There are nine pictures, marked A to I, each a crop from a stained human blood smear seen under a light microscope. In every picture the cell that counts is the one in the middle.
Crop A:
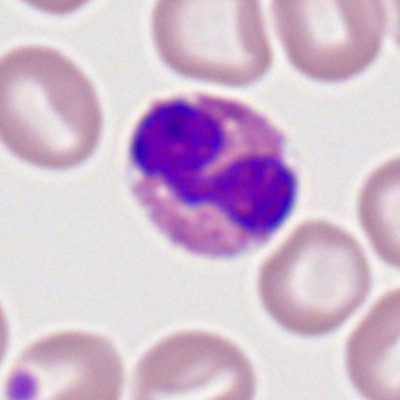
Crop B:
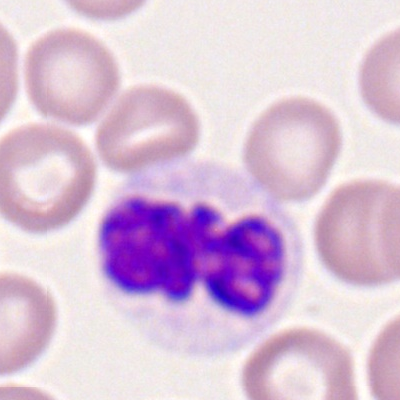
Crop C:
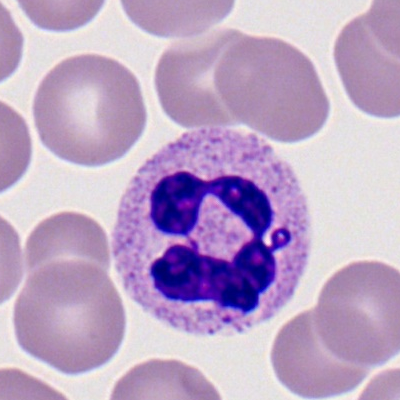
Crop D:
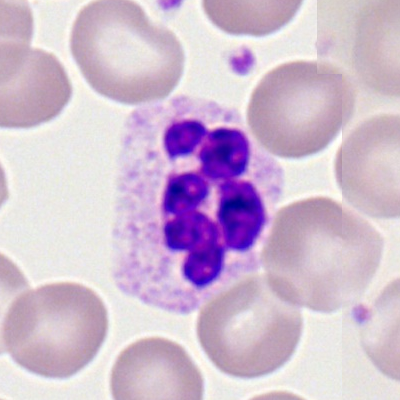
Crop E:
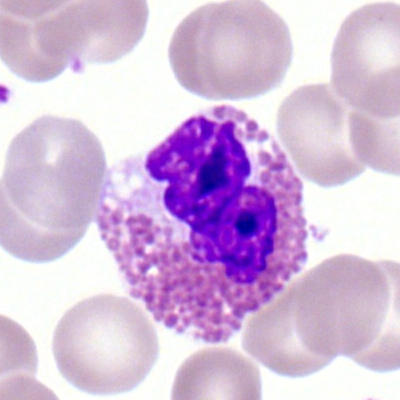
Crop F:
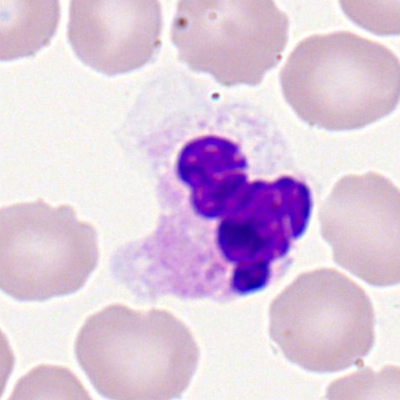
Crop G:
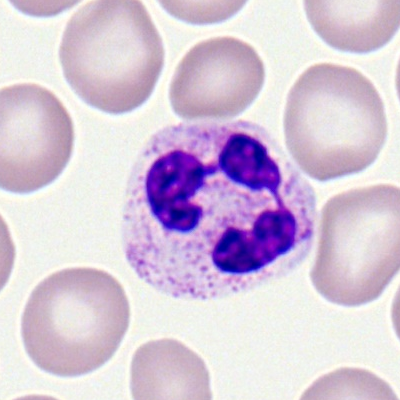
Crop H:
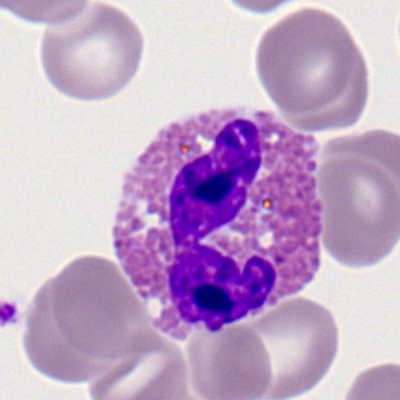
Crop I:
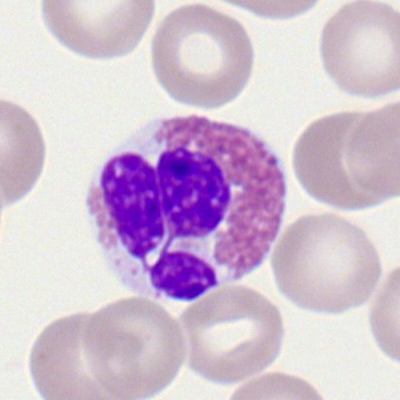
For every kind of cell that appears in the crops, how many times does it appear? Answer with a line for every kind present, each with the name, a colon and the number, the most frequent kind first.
segmented neutrophil: 5
eosinophil: 4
